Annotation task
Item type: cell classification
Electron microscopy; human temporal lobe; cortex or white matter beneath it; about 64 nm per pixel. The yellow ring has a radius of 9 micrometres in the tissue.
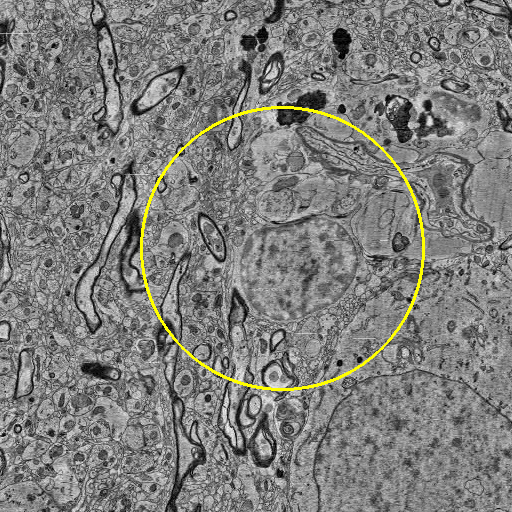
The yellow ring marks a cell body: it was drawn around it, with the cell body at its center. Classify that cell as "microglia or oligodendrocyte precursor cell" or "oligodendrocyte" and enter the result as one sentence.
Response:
The ring's center falls on an oligodendrocyte.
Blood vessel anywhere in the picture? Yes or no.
Yes, one is visible.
